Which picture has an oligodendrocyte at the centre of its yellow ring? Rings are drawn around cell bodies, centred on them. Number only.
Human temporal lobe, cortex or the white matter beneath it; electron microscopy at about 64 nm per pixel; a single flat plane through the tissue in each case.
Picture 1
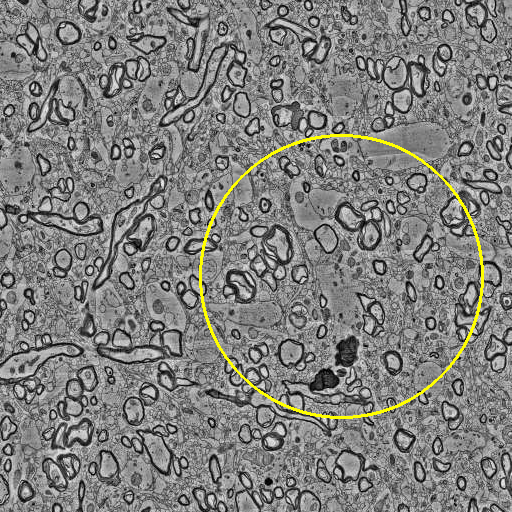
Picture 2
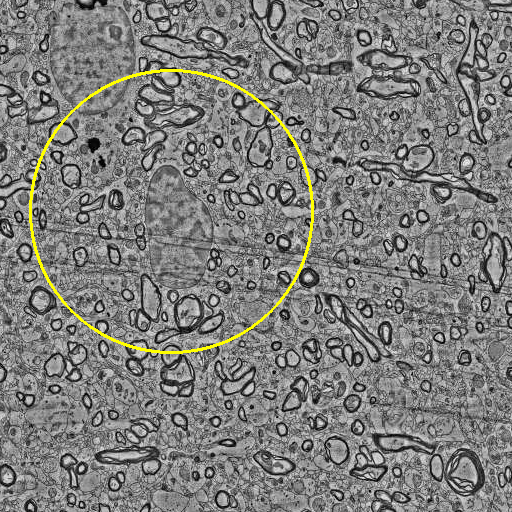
1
